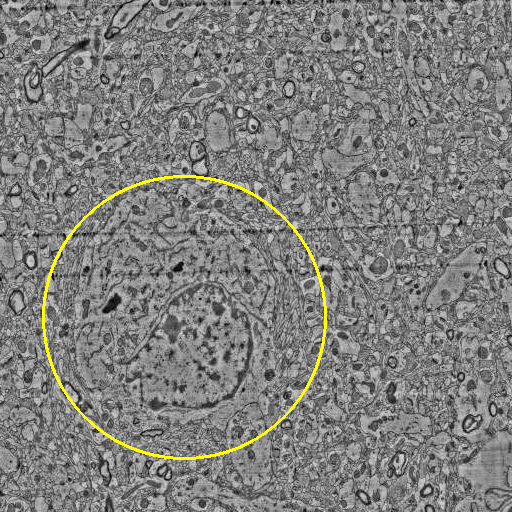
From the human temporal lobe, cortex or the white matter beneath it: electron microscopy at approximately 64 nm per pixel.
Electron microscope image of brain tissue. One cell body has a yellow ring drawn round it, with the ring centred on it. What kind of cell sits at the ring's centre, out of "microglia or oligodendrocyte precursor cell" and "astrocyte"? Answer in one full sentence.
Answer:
It is a microglial cell or oligodendrocyte precursor cell whose cell body sits at the centre of the yellow ring.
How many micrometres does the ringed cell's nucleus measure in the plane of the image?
The nucleus appears roughly 9 by 7 micrometres in this plane.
